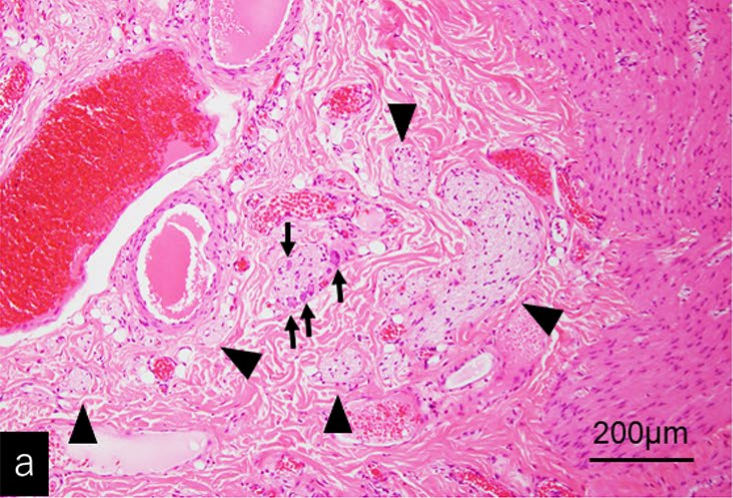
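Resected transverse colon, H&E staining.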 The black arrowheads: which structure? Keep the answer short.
thick nerve bundles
